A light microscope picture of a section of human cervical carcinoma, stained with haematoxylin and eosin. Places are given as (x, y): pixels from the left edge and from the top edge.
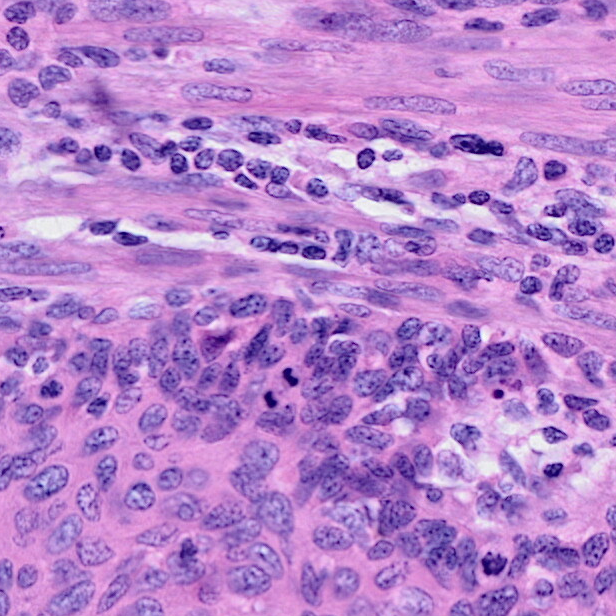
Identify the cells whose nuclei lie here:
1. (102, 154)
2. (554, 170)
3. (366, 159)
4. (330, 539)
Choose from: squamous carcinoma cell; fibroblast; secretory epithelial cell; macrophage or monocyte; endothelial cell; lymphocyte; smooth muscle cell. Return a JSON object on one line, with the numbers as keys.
{"1": "lymphocyte", "2": "lymphocyte", "3": "lymphocyte", "4": "squamous carcinoma cell"}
